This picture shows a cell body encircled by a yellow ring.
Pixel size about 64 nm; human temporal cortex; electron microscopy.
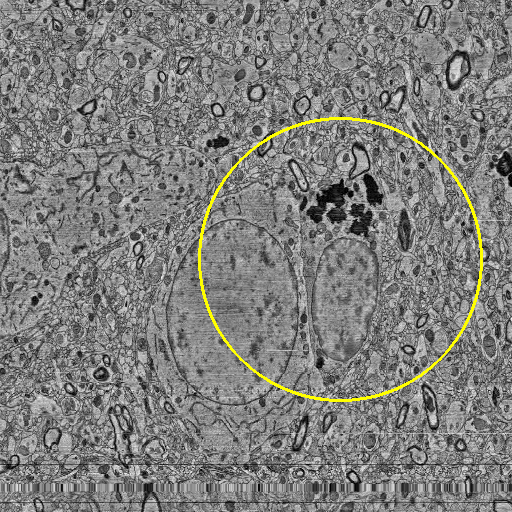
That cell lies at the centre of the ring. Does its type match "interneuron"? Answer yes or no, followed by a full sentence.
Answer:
No, in the picture, the ring surrounds a cell of another type at its centre.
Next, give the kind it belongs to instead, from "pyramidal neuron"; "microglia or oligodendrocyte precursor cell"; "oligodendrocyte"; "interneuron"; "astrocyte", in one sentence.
As it turns out, the cell at the ring centre is an oligodendrocyte.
